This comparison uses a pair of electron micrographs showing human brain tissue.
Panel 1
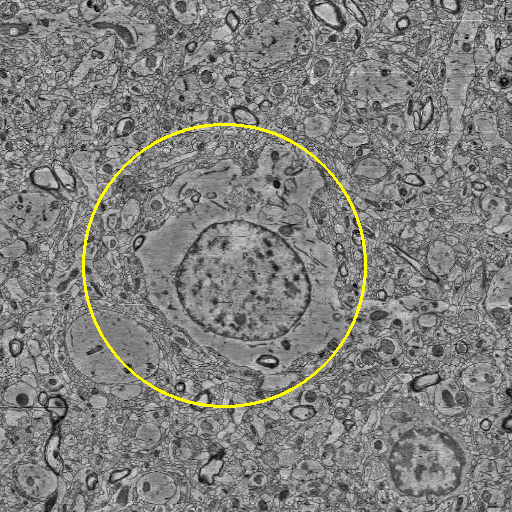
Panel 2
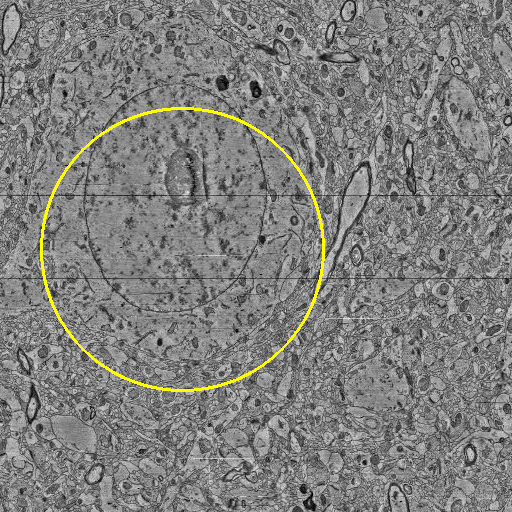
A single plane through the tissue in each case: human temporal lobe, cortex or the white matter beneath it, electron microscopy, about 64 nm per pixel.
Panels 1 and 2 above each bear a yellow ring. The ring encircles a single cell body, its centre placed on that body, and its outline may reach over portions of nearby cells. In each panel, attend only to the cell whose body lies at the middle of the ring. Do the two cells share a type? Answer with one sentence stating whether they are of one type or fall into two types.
In Panel 1 and Panel 2, the cells at the centres of the rings fall into two types.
